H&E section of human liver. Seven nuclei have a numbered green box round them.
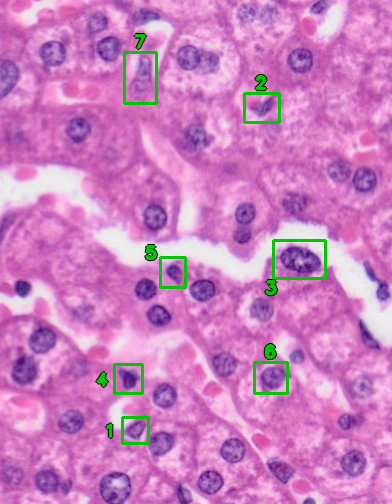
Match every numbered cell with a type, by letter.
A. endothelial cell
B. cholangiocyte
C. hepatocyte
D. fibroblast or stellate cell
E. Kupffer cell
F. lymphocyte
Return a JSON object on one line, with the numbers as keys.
{"1": "E", "2": "A", "3": "C", "4": "D", "5": "D", "6": "C", "7": "E"}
